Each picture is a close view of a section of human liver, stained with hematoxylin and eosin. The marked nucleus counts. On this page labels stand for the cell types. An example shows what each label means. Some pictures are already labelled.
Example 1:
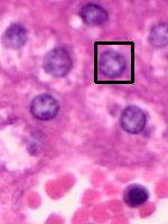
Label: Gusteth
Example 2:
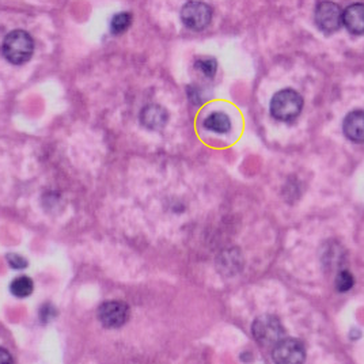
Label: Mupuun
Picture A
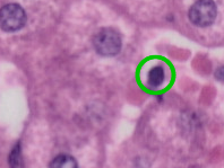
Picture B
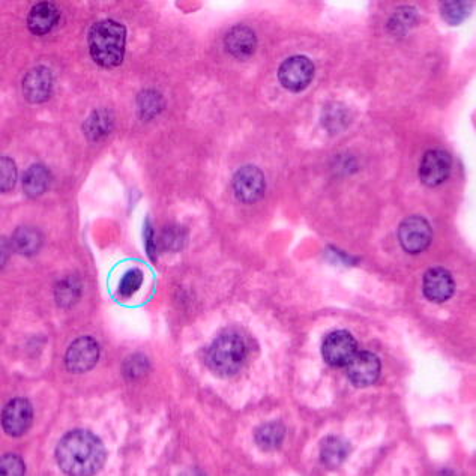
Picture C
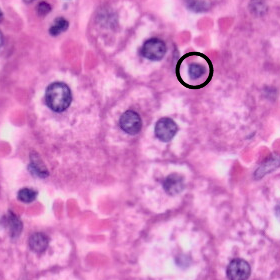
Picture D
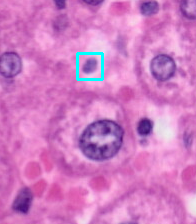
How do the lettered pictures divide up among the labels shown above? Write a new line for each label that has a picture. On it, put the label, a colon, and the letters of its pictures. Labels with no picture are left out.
Mupuun: A, B, C, D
